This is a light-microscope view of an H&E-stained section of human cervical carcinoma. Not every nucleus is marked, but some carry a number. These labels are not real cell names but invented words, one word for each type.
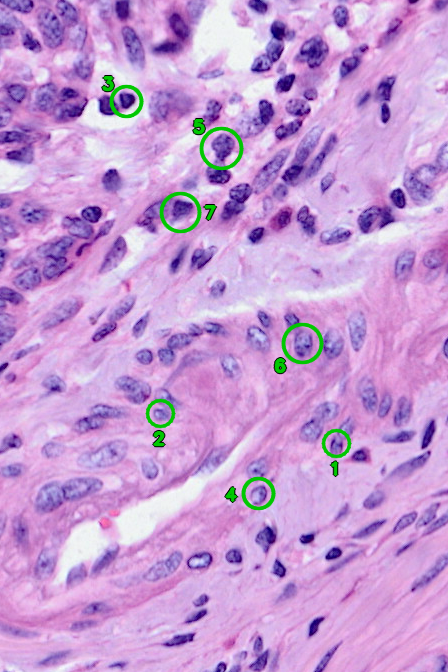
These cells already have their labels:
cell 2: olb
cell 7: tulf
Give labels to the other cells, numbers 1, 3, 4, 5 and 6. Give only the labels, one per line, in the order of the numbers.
olb
tulf
olb
tulf
olb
